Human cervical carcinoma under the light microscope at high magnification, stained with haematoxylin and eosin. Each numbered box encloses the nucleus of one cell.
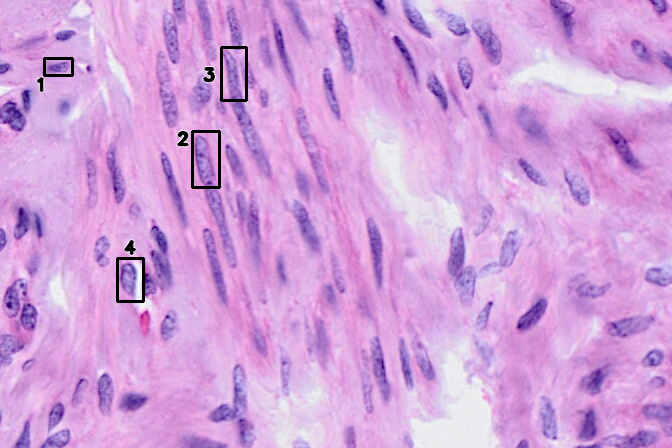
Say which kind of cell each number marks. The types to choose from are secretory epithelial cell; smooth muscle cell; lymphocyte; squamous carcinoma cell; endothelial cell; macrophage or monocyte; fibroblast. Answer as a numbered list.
1. fibroblast
2. smooth muscle cell
3. smooth muscle cell
4. endothelial cell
